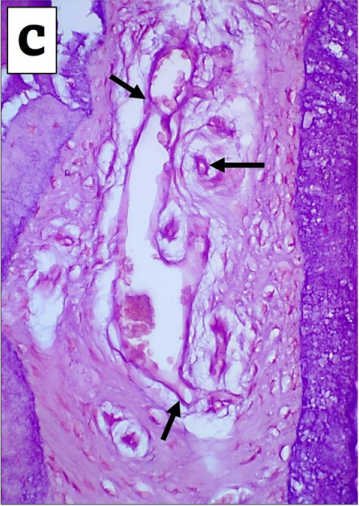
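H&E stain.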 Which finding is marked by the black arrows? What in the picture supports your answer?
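Arrows point to round and elongated lumina lined by thin walls. Some lumina contain red blood cells. That points to this answer: Angiogenesis.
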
